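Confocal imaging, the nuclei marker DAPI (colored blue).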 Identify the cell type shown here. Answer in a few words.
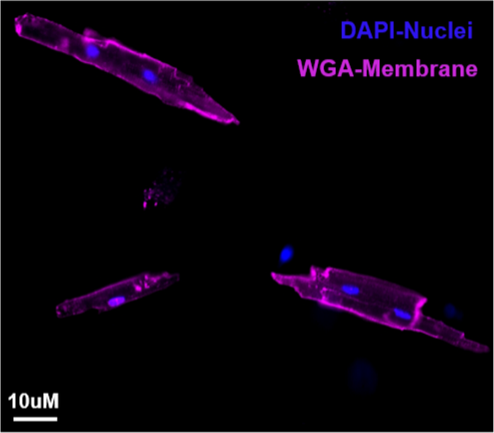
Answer: cardiomyocytes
